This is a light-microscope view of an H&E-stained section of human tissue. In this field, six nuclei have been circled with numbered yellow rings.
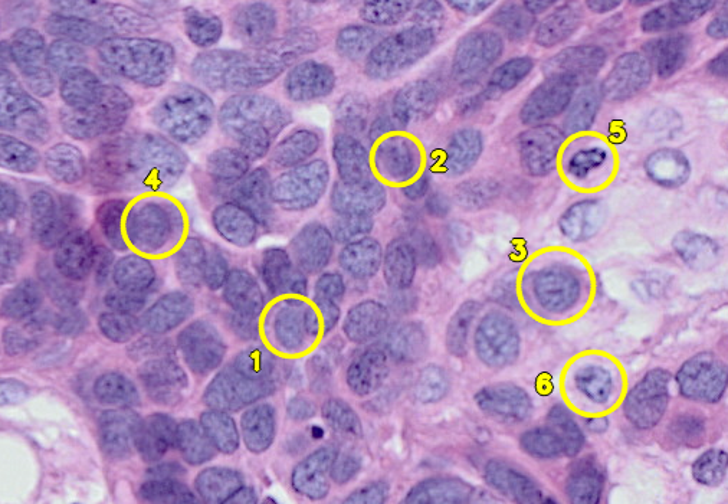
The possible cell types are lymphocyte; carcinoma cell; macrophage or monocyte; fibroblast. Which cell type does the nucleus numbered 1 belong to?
carcinoma cell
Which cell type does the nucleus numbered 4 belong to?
carcinoma cell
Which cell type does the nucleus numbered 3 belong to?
carcinoma cell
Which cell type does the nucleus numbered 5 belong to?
lymphocyte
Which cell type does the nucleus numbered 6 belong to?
macrophage or monocyte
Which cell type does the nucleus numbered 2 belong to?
carcinoma cell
